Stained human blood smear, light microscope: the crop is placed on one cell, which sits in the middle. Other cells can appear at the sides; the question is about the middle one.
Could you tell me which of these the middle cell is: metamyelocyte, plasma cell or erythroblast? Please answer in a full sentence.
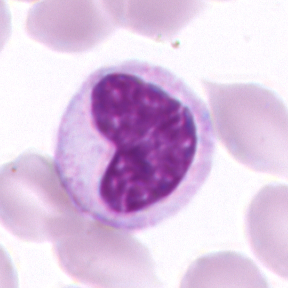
As for the cell in the middle, it is a metamyelocyte.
